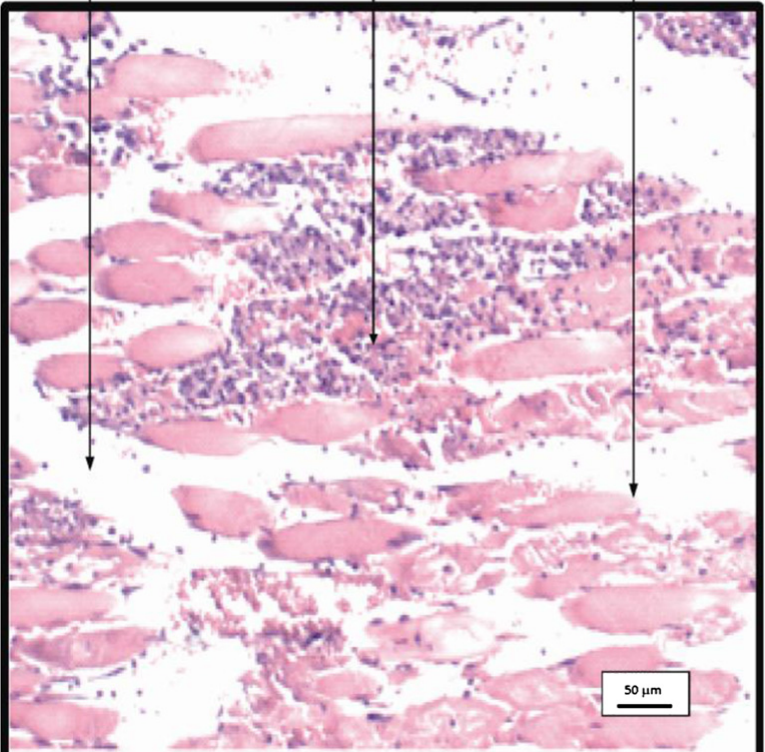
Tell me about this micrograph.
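This is injured skeletal muscle: elongated pink muscle fibers lie widely separated by clear spaces of edema. A dense inflammatory infiltrate of small, dark purple nuclei crowds the spaces between fibers in the middle of the field. Many fibers, especially toward the lower right, are pale, fragmented and ragged, showing degeneration.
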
